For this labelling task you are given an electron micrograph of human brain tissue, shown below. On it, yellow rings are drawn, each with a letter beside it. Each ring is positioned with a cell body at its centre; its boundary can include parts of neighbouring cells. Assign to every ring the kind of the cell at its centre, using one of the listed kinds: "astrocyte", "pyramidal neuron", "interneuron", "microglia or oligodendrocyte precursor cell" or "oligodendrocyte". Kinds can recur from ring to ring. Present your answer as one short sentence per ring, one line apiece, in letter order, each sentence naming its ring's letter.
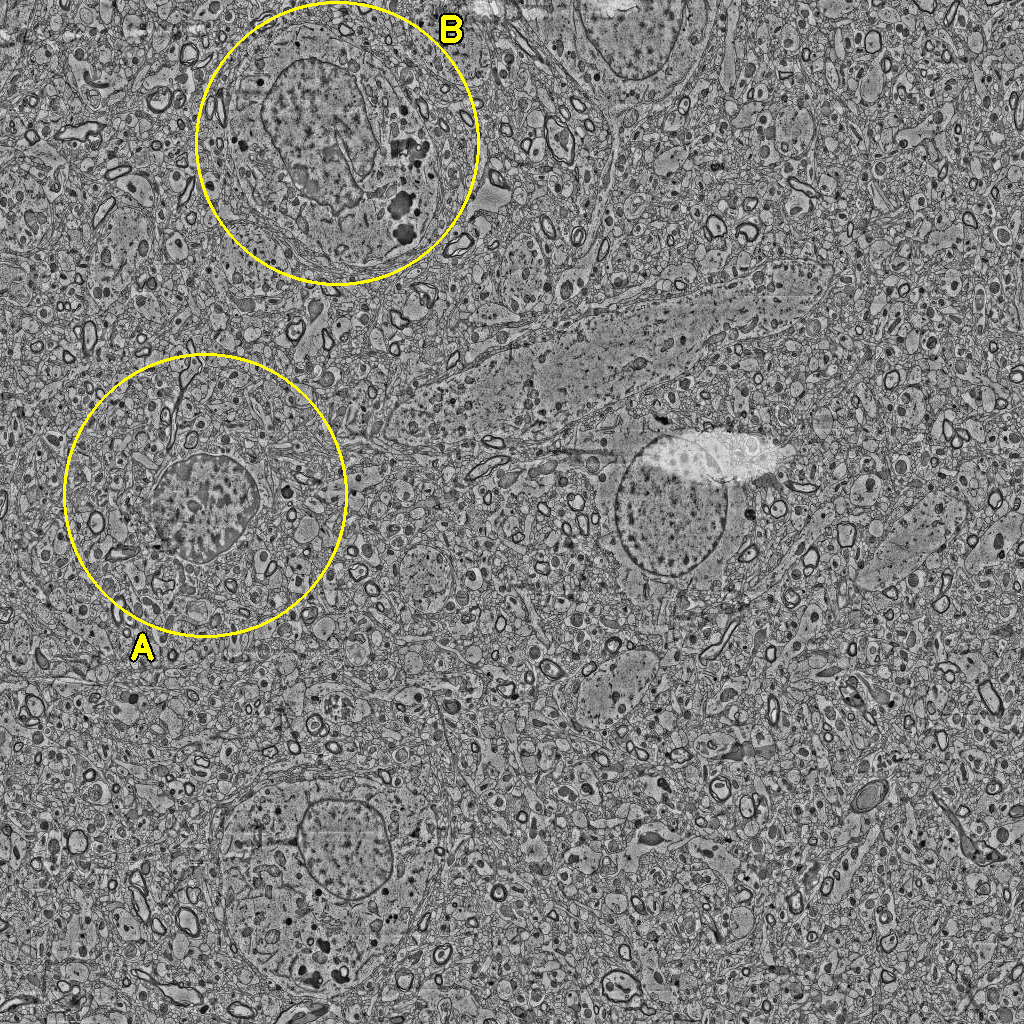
The cell in the middle of ring A is a microglial cell or oligodendrocyte precursor cell.
The cell in the middle of ring B is an interneuron.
